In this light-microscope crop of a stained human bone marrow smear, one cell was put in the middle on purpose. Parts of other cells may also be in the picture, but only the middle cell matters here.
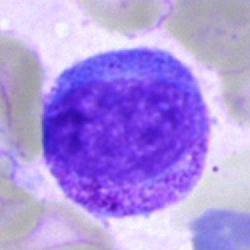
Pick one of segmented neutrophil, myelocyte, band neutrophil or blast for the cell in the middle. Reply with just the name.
myelocyte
